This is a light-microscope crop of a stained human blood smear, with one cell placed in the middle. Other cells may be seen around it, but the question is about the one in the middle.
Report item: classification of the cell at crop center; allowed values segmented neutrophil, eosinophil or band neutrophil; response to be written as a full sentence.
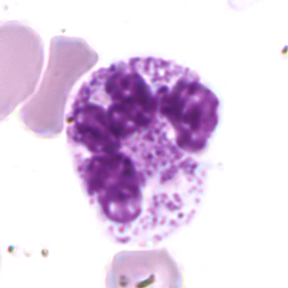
The middle cell in this particular crop is a segmented neutrophil.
